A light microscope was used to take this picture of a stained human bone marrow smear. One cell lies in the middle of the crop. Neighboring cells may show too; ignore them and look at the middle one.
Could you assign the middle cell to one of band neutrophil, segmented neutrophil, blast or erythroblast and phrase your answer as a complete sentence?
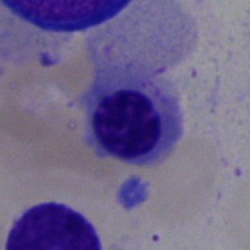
The cell positioned in the middle of the field is an erythroblast.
